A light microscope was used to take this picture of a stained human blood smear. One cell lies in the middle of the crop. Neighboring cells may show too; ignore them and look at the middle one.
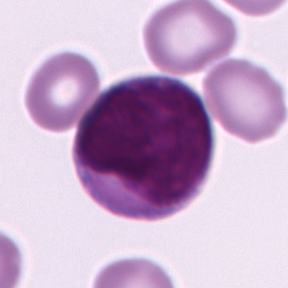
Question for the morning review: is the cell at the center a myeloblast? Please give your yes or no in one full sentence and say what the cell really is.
Yes, the cell that is in the middle is a myeloblast.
